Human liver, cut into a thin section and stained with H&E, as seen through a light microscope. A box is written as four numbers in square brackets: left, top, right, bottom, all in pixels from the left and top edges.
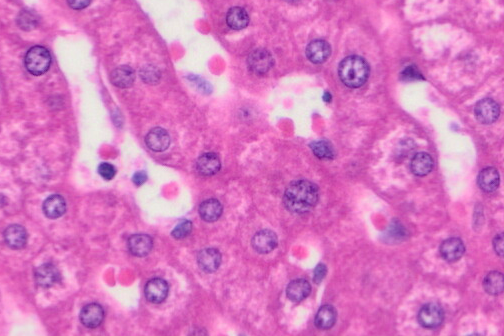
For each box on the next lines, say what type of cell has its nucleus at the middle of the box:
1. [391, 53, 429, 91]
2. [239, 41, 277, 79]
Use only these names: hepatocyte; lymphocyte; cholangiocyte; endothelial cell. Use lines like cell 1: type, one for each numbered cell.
cell 1: endothelial cell
cell 2: hepatocyte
